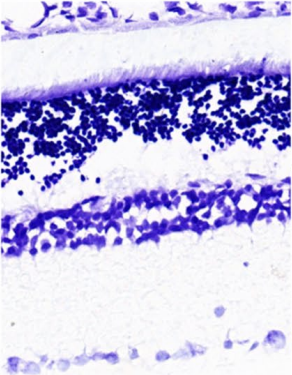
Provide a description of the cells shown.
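A thick band of densely packed dark blue round nuclei forms the outer nuclear layer, and below a pale gap lies a thinner band of blue nuclei, the inner nuclear layer. Beneath that a wide pale layer with only faint fibres contains almost no cells. At the bottom a single loose row of larger blue-stained cell bodies lies along the edge, where the retinal ganglion cells sit.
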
